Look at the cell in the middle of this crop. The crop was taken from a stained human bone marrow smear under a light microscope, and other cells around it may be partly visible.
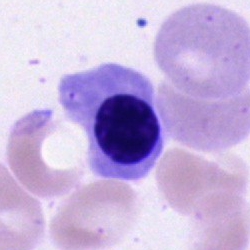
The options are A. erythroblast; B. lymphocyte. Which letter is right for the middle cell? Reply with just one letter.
A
